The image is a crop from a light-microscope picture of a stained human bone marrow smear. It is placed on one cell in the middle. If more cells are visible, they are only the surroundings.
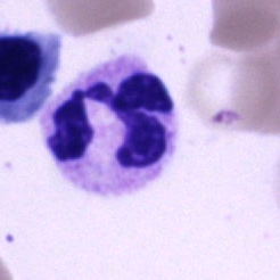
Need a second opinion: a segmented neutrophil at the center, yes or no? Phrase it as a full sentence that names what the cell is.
Yes, the cell at the middle of the field is to be classed as a segmented neutrophil.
